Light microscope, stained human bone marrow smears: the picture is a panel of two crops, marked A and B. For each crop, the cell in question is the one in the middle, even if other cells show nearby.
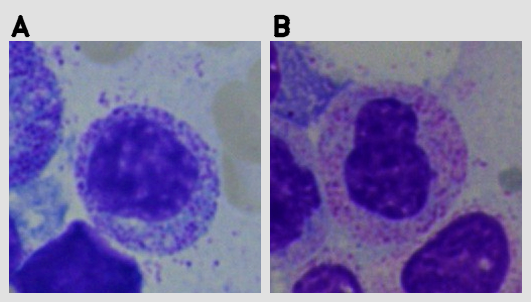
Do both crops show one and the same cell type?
no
